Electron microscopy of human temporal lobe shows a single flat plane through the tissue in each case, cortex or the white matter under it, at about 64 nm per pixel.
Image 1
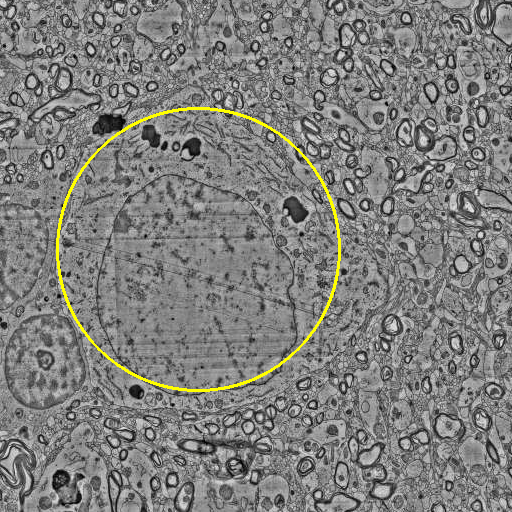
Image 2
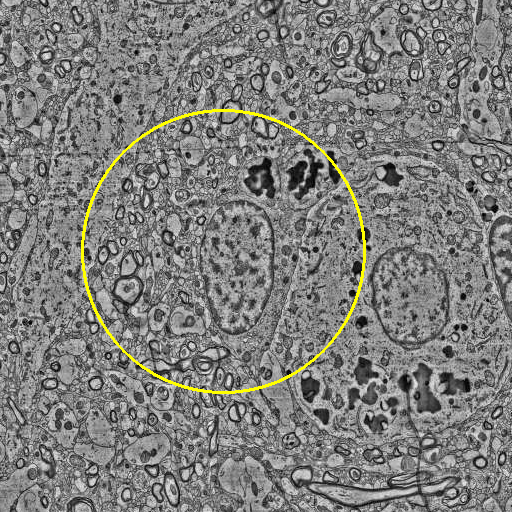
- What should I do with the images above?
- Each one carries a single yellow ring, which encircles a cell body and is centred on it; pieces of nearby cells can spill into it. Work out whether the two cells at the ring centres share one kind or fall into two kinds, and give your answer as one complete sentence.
The ring-centre cells of Image 1 and Image 2 fall into two kinds.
